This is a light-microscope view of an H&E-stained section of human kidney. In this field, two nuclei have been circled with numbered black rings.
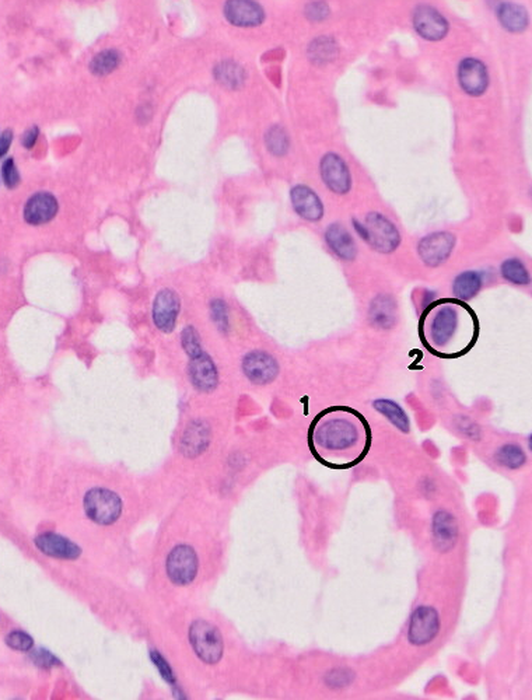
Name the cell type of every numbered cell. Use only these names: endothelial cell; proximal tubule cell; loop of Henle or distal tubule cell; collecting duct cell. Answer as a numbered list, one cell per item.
1. proximal tubule cell
2. collecting duct cell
